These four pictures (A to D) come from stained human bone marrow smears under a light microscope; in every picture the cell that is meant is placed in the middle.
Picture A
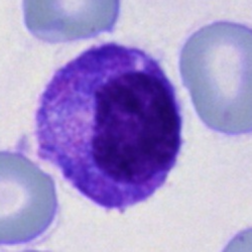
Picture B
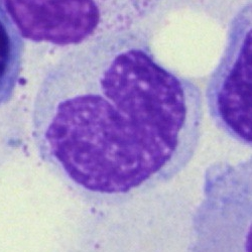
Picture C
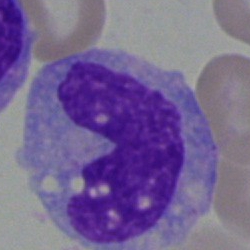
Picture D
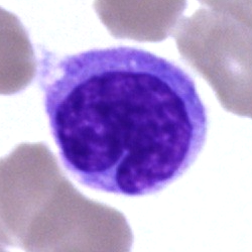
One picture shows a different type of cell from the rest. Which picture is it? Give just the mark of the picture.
A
